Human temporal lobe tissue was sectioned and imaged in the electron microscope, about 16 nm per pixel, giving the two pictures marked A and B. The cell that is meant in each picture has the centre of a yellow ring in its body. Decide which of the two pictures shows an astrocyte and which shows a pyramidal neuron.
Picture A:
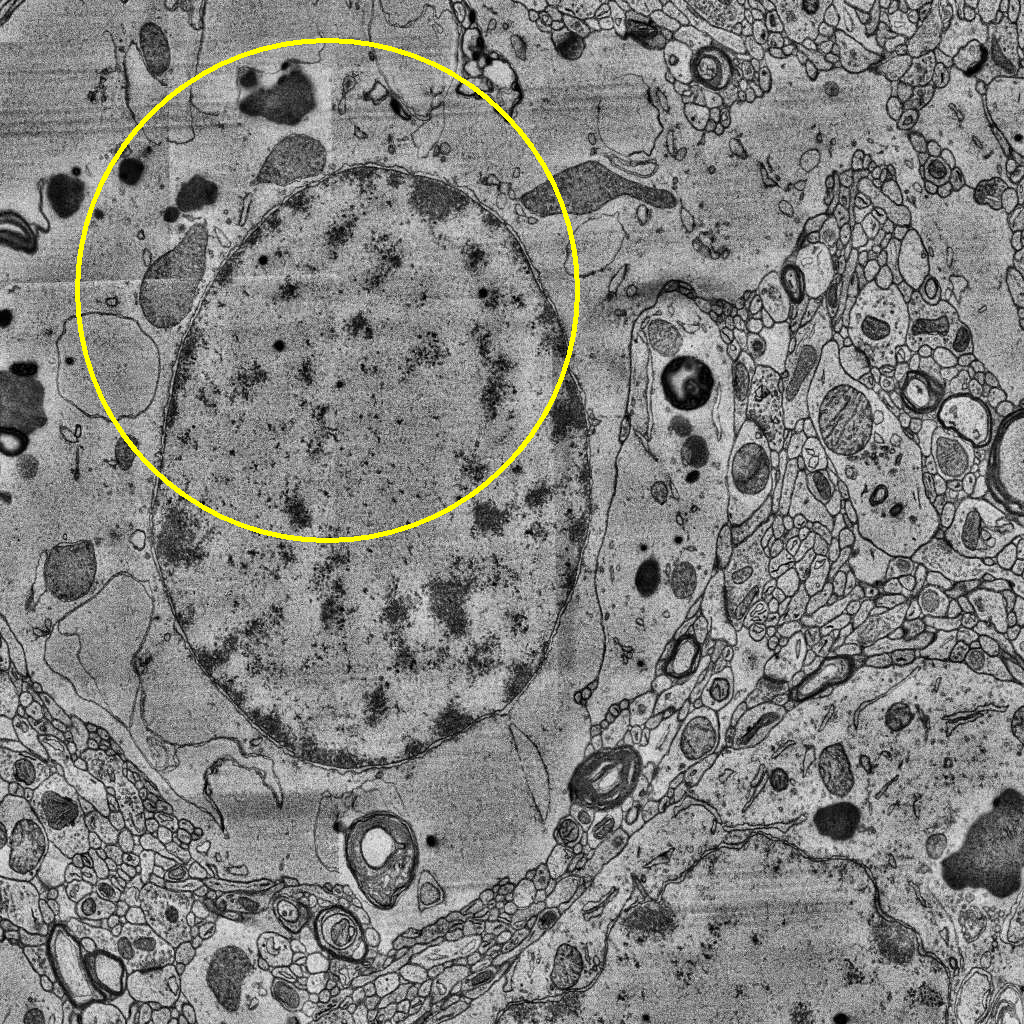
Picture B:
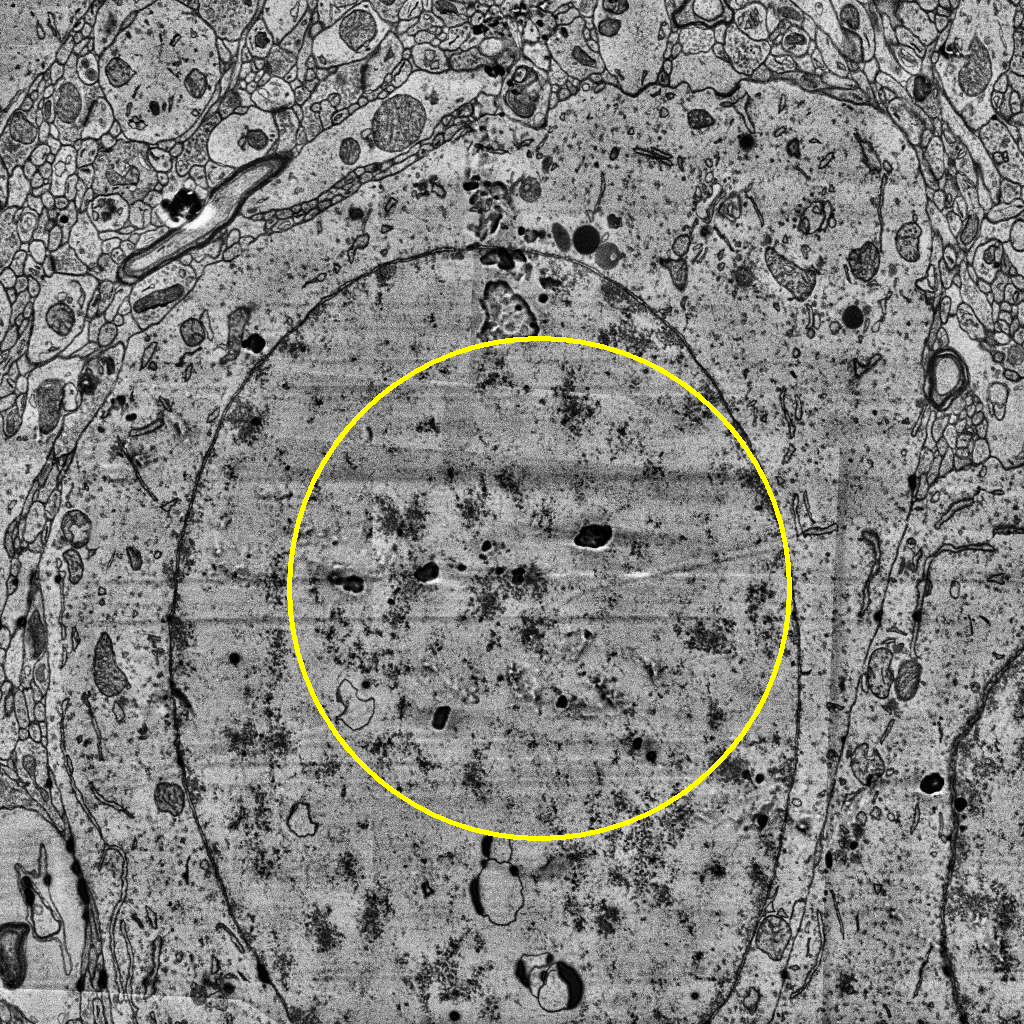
Picture B shows a pyramidal neuron, while picture A shows an astrocyte.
